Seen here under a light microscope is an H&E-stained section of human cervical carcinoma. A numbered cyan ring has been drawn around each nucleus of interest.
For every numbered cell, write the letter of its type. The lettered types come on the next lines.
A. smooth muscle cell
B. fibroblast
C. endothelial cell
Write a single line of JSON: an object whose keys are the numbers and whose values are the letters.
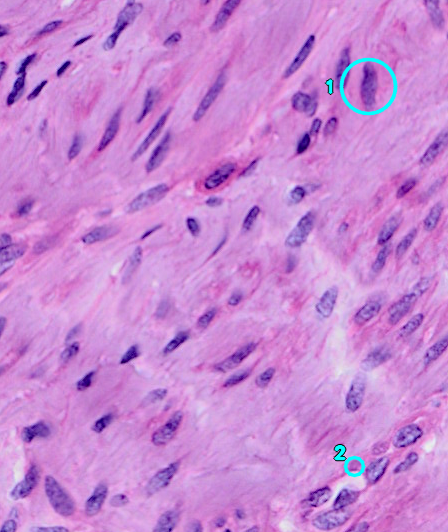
{"1": "A", "2": "C"}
